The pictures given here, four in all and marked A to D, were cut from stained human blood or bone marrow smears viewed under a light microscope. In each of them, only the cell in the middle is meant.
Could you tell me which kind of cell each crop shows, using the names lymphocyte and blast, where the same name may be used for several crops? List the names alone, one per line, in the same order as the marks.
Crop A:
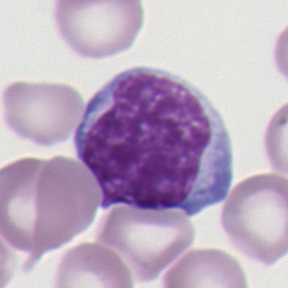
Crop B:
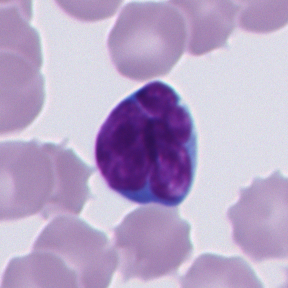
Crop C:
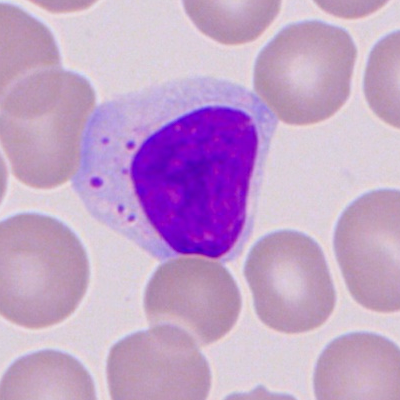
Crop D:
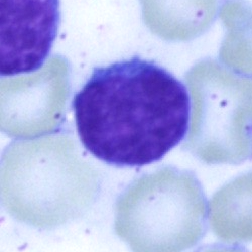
blast
lymphocyte
lymphocyte
lymphocyte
